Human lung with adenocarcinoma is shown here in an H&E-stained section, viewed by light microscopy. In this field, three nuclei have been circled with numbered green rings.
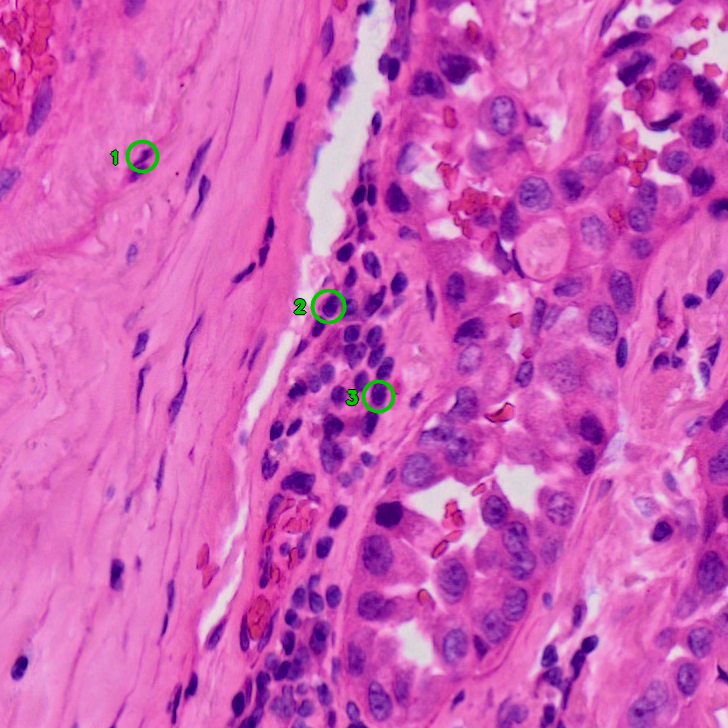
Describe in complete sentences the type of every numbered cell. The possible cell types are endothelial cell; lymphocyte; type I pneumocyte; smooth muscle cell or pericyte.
Cell 1 is a smooth muscle cell or pericyte, cell 2 is a lymphocyte and cell 3 is a lymphocyte.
